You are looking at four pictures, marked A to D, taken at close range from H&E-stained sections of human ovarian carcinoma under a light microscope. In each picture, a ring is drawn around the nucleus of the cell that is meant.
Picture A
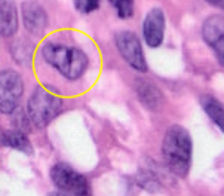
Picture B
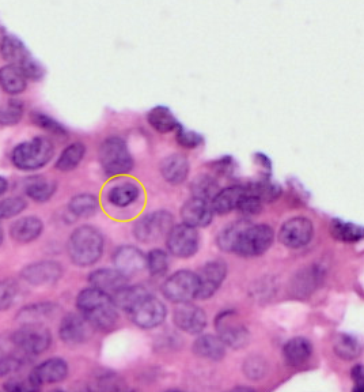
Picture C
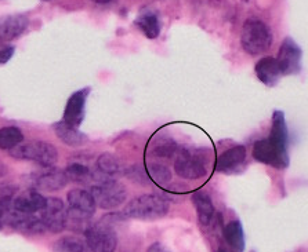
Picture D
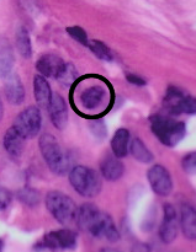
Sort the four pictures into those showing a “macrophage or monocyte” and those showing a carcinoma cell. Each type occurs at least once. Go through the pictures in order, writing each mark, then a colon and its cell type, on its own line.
A: macrophage or monocyte
B: macrophage or monocyte
C: carcinoma cell
D: macrophage or monocyte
